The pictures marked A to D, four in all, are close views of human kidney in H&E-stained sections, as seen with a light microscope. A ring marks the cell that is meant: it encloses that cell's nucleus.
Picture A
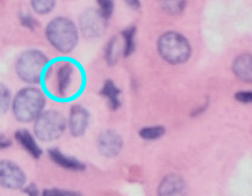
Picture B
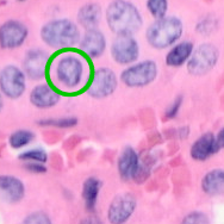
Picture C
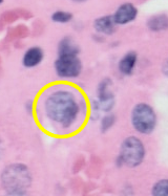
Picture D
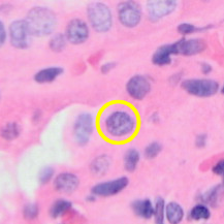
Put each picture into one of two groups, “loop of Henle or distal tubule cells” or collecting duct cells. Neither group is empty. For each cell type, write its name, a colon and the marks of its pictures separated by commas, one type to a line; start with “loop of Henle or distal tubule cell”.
loop of Henle or distal tubule cell: C, D
collecting duct cell: A, B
